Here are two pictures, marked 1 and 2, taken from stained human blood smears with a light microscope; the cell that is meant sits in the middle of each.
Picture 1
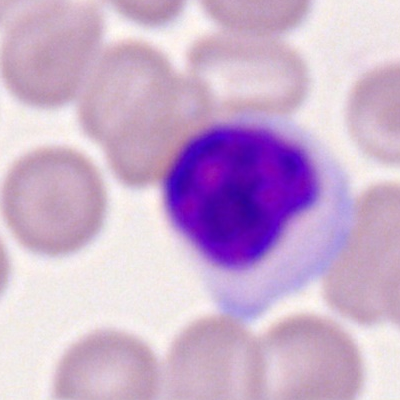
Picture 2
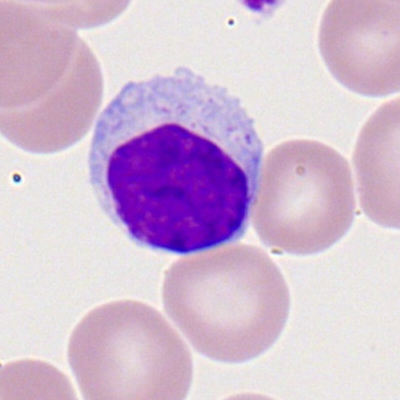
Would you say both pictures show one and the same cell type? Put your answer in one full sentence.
Yes, both cells are lymphocytes.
